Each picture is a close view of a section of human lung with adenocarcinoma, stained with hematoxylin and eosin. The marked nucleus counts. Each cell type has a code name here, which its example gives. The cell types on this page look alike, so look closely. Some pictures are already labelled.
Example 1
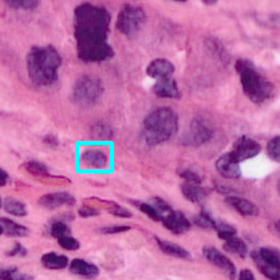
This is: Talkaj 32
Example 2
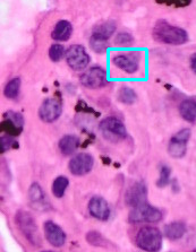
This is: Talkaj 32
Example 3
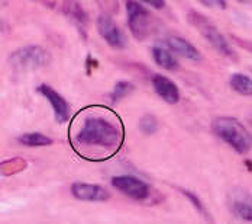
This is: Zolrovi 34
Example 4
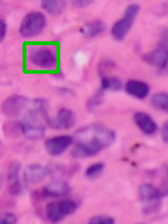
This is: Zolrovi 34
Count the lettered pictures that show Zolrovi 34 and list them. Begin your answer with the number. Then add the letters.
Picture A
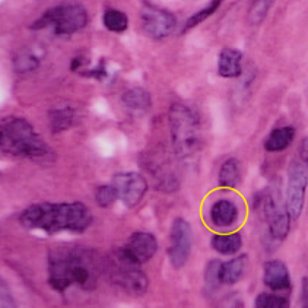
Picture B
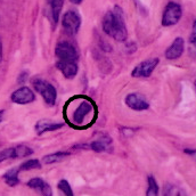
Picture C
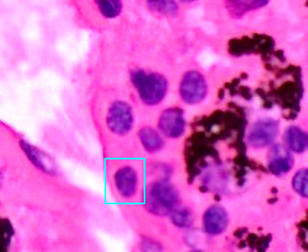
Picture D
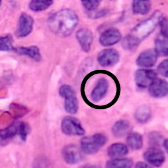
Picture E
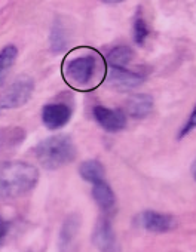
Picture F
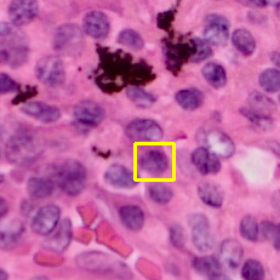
3: B, E, F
